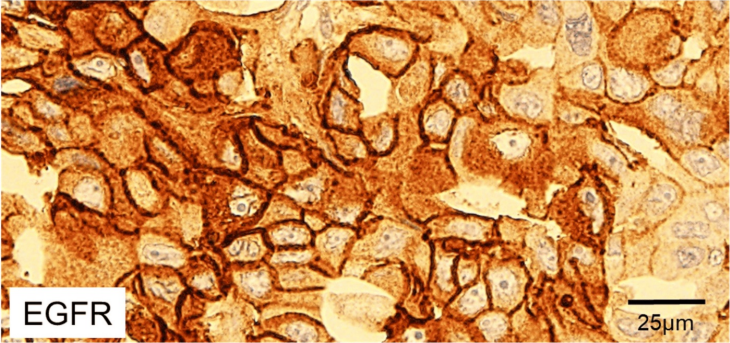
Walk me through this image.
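Section of a lesion made of tightly packed polygonal cells showing strong brown staining. The brown stain outlines the cell membranes as sharp, dark, continuous rings around most cells. Many cells also show granular brown staining through the cytoplasm. Nuclei are oval, pale blue-grey, with visible nucleoli, and are themselves unstained. Staining is strongest on the left and paler in cells toward the right edge.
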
